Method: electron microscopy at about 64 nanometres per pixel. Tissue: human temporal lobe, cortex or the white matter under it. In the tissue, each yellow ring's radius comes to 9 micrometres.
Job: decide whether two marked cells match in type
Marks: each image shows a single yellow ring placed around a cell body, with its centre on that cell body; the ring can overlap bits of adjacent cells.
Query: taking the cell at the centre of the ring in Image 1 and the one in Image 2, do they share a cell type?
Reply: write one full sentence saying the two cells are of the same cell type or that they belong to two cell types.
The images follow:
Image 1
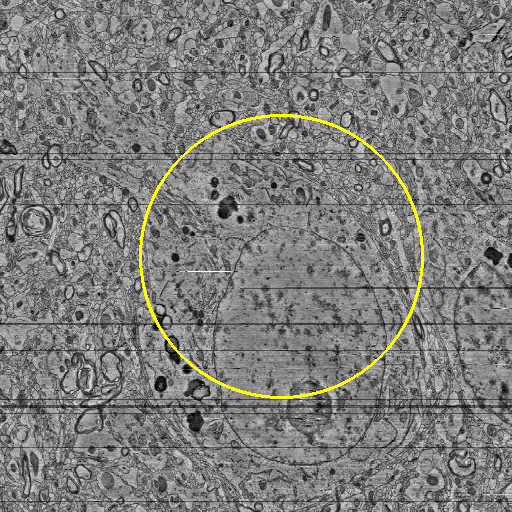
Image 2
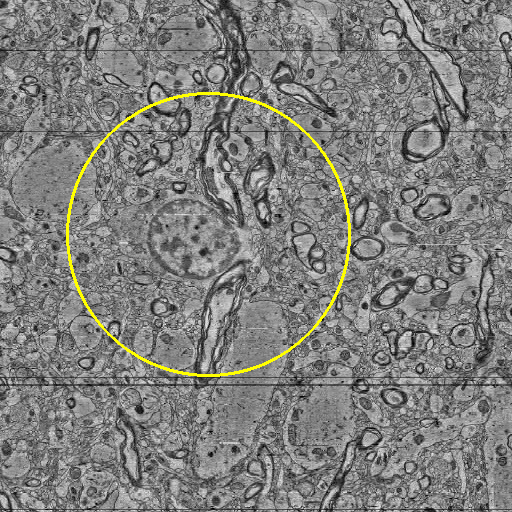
The cells at the ring centres in Image 1 and Image 2 belong to two cell types.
